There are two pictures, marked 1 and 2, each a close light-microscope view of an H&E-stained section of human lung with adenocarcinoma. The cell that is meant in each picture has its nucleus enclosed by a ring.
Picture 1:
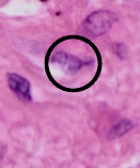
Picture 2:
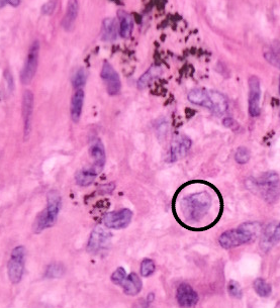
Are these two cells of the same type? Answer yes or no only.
yes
